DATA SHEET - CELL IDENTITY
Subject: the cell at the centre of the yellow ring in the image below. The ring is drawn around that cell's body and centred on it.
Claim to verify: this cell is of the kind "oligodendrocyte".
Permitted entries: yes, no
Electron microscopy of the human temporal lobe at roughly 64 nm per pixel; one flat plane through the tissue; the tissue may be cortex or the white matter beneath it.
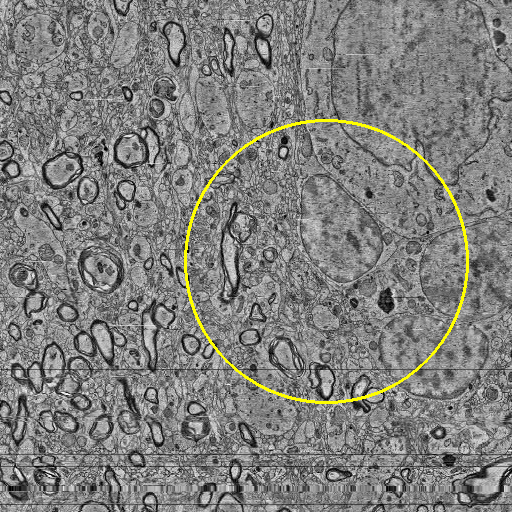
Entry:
no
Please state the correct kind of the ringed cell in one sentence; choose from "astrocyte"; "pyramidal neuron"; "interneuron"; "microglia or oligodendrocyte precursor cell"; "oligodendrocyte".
The cell enclosed by the ring is a microglial cell or oligodendrocyte precursor cell.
